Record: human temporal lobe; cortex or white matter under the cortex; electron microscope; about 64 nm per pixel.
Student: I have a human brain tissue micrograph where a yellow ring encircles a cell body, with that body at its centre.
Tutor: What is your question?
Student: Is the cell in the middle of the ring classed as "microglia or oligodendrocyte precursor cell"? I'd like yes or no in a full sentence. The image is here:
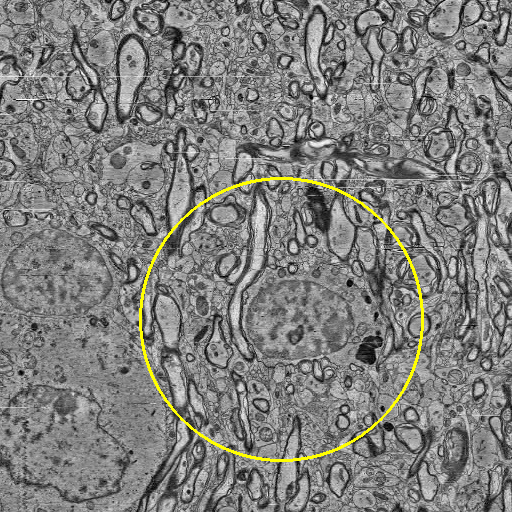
No, the ringed cell in the middle counts as another kind.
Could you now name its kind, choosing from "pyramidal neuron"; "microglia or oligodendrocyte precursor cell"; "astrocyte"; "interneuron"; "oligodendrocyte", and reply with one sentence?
The cell ringed in the picture is an oligodendrocyte.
